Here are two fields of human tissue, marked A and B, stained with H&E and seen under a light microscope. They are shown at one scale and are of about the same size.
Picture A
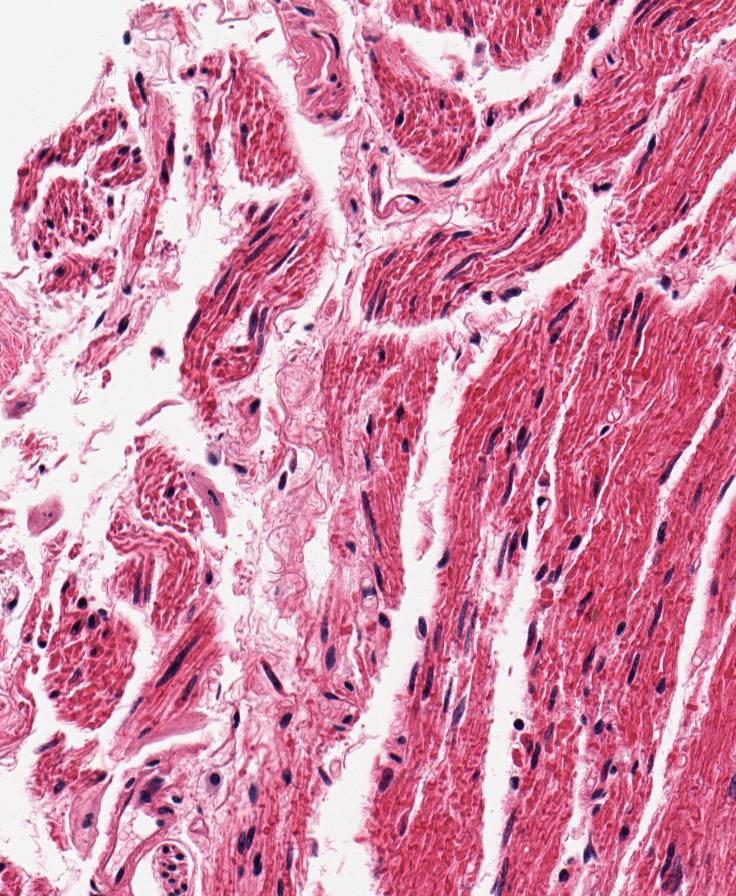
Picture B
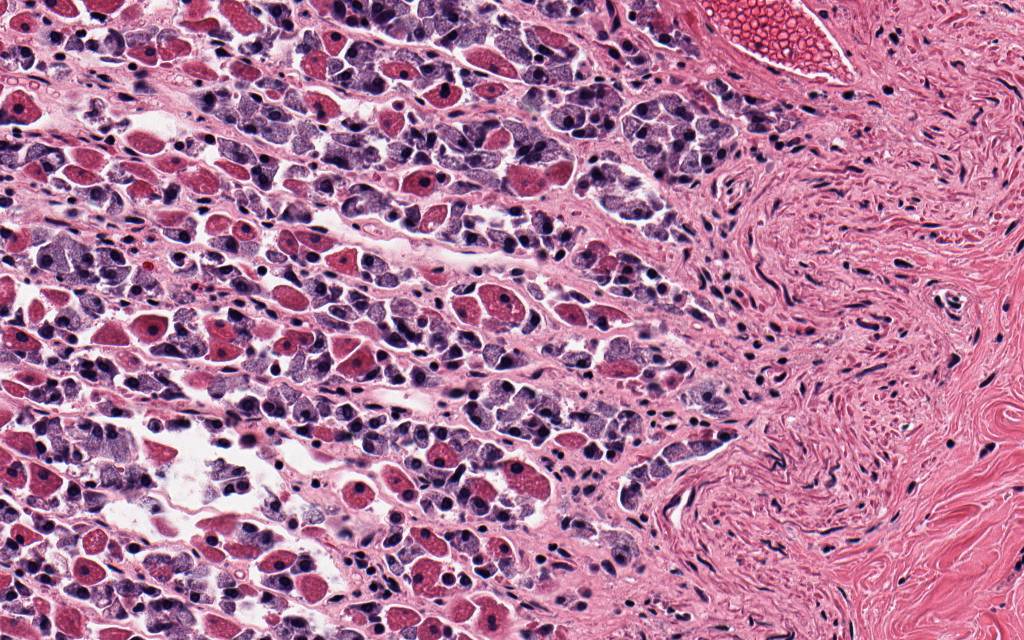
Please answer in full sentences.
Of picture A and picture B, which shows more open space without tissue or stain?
More of picture A is empty and white.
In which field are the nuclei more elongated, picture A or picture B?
On the whole the nuclei of picture A are more drawn out than those of picture B.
